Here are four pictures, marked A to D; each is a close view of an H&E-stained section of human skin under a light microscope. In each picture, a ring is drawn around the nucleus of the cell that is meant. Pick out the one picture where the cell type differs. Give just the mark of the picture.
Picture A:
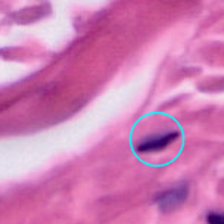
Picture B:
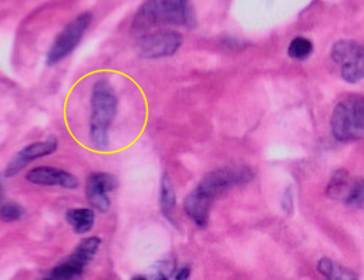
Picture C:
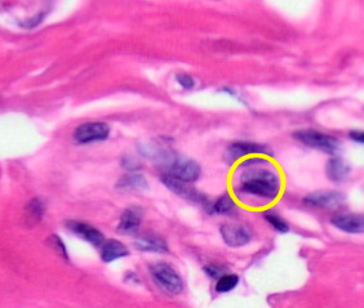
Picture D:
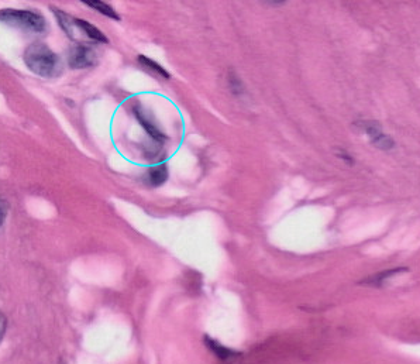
A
